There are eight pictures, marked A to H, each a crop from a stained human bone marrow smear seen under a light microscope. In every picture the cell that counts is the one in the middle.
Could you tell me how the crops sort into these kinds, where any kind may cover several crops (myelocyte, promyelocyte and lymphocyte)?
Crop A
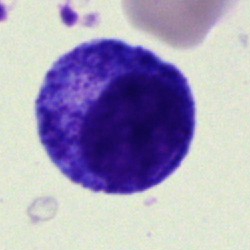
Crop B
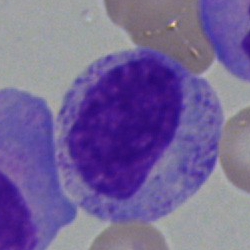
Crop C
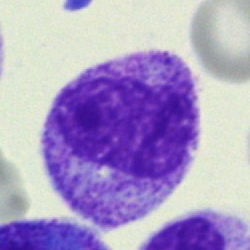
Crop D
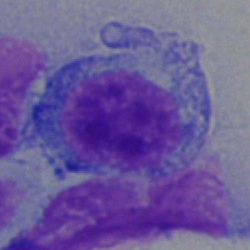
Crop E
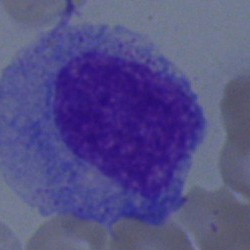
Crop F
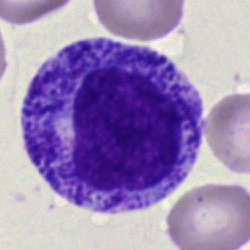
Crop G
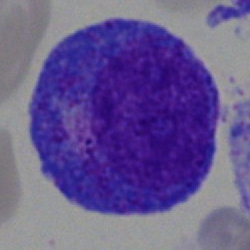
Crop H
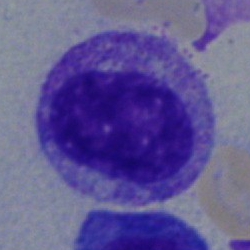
A: promyelocyte
B: myelocyte
C: myelocyte
D: lymphocyte
E: myelocyte
F: myelocyte
G: promyelocyte
H: myelocyte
